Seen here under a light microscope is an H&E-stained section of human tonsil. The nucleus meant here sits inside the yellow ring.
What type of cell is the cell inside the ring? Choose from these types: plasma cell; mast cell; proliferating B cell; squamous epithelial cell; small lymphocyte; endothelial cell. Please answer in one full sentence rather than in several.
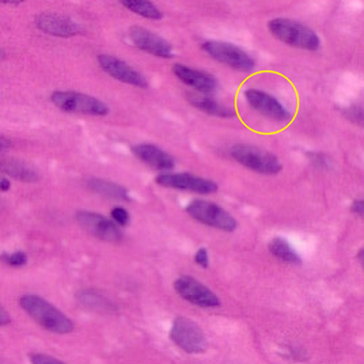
As classified here, the cell inside the ring is a squamous epithelial cell.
